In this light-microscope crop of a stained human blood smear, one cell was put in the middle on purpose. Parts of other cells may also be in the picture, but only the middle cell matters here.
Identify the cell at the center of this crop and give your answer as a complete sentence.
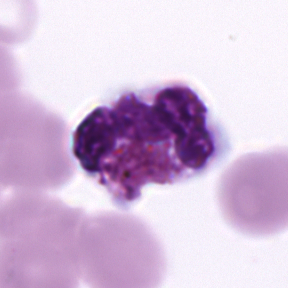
To answer, the cell in the center of the crop is an eosinophil.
